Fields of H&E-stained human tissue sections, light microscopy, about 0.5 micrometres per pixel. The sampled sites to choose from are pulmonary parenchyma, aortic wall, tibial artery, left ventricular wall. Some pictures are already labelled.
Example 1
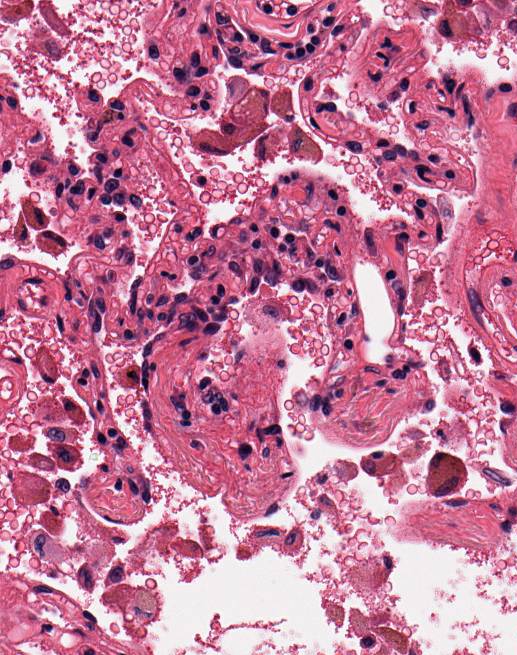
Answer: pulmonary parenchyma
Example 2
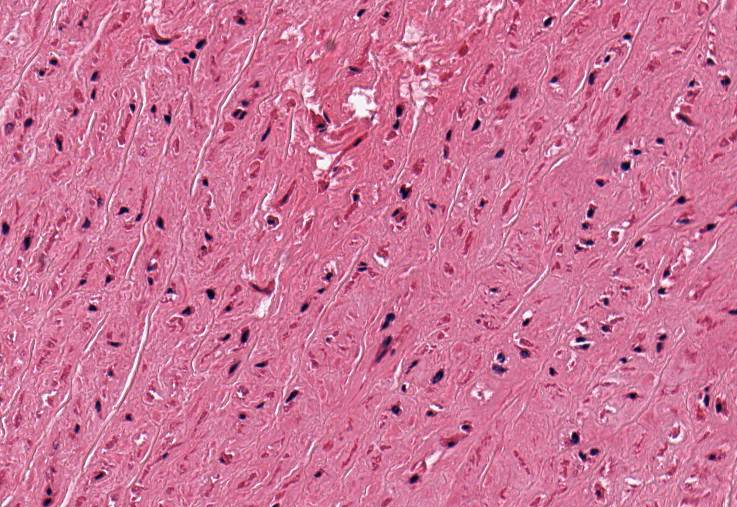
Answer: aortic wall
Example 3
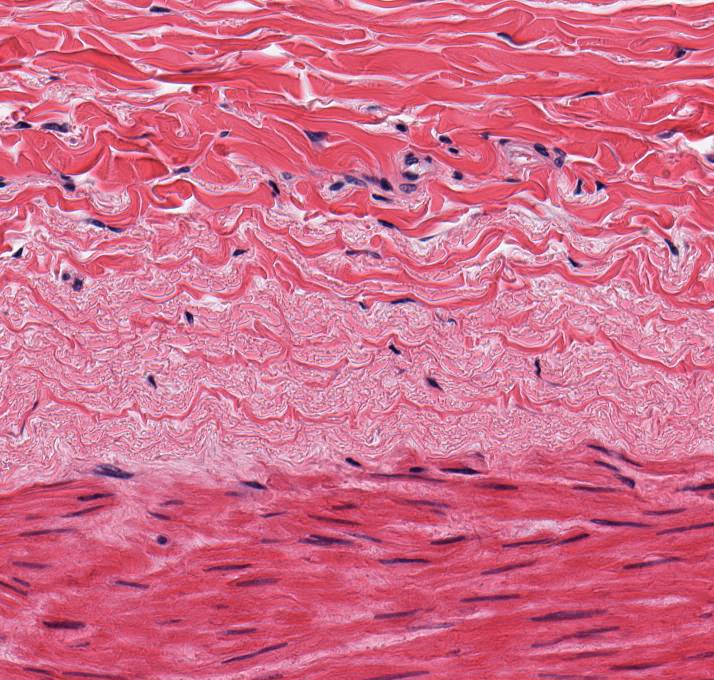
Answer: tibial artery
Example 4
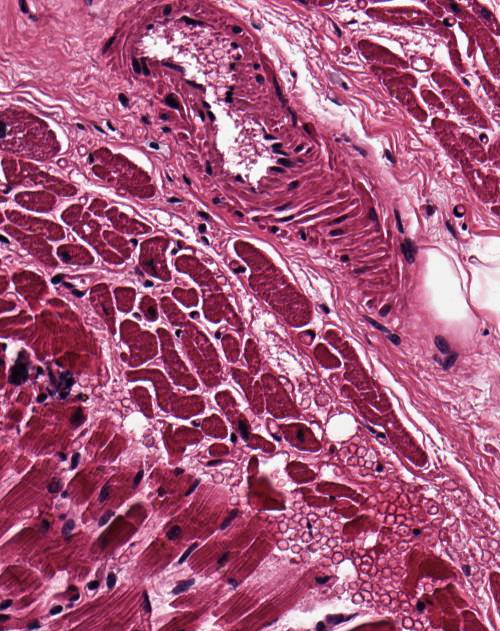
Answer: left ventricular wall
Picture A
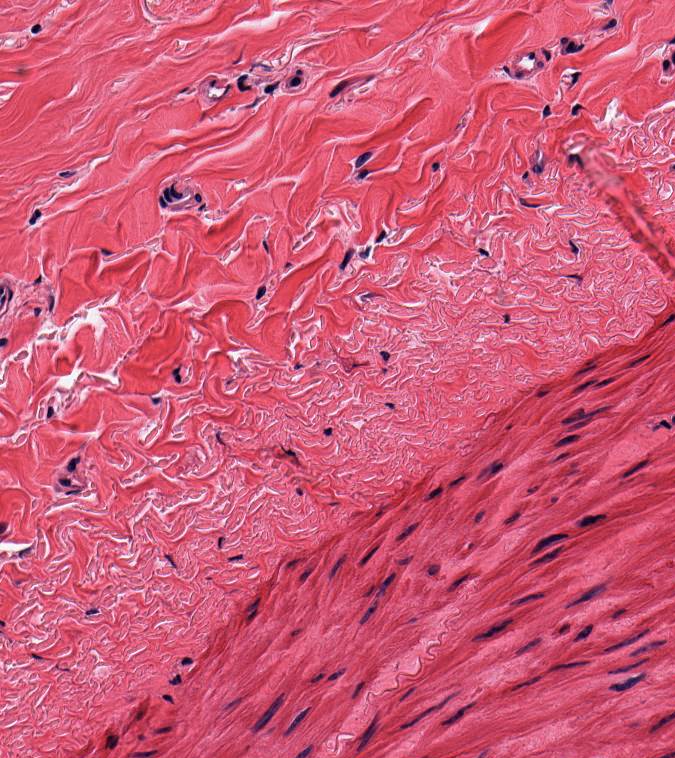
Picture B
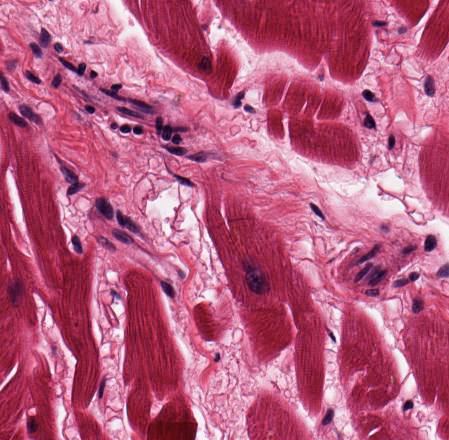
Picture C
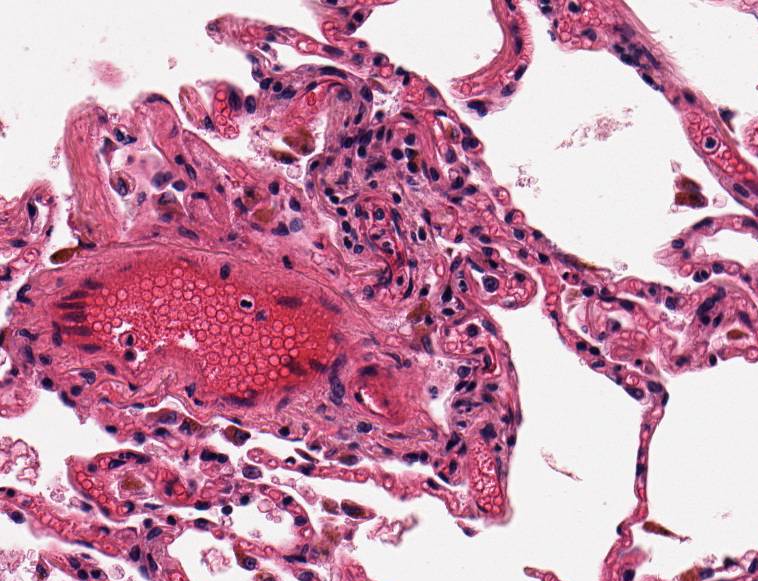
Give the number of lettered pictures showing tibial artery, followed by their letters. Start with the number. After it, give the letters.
1, namely A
